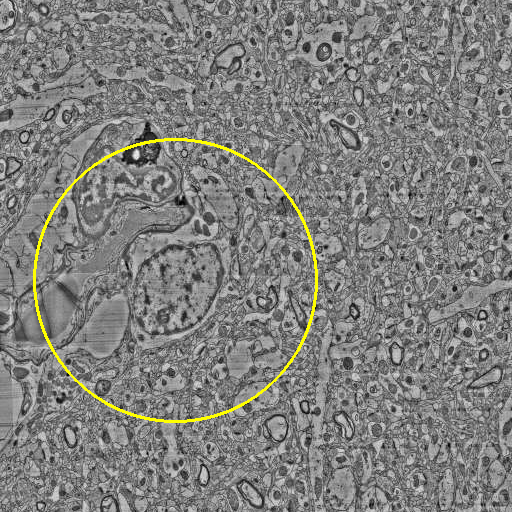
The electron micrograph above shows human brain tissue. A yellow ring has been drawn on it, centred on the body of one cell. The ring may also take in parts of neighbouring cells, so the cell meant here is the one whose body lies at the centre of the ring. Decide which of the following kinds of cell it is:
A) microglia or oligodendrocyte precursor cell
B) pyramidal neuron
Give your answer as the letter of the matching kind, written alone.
A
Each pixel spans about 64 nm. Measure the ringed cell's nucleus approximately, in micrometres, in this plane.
The nucleus has a long axis of about 7 micrometres and a short axis of about 5 micrometres in this plane.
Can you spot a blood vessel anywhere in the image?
Yes, one shows.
